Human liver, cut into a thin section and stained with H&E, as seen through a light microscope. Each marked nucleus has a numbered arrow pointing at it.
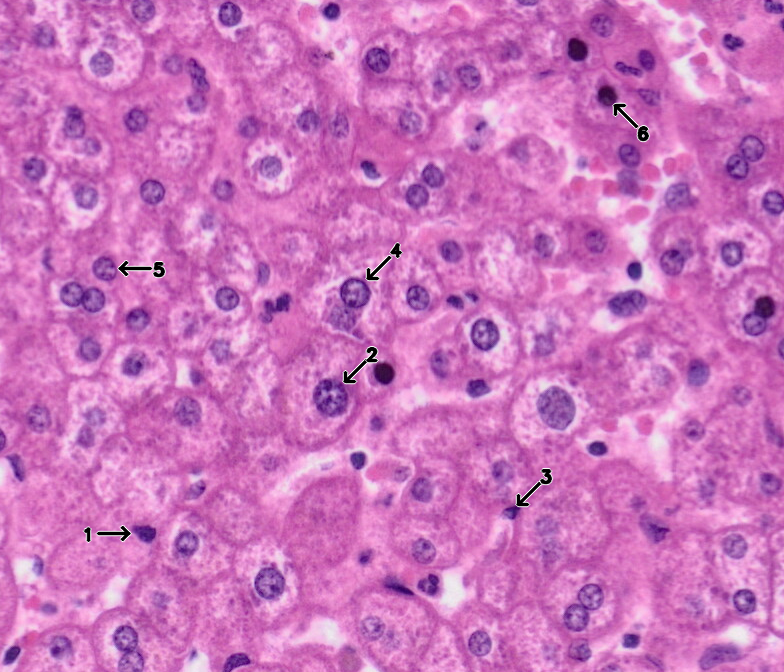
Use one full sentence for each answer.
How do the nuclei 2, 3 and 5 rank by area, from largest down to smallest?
From largest to smallest, the order is 2, 5, 3.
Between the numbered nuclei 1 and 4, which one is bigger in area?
Nucleus 4 covers more area, about 2.5 times as much as nucleus 1.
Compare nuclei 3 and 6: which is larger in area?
Nucleus 6 is larger, with an area about 2 times that of nucleus 3.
